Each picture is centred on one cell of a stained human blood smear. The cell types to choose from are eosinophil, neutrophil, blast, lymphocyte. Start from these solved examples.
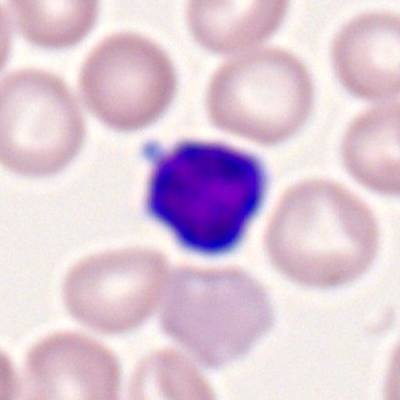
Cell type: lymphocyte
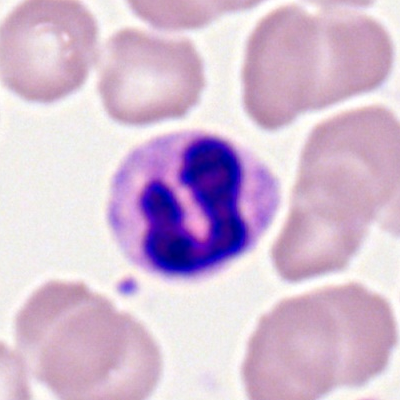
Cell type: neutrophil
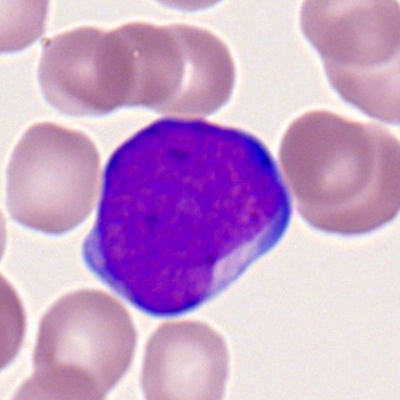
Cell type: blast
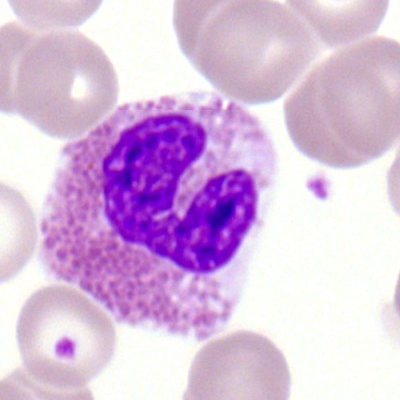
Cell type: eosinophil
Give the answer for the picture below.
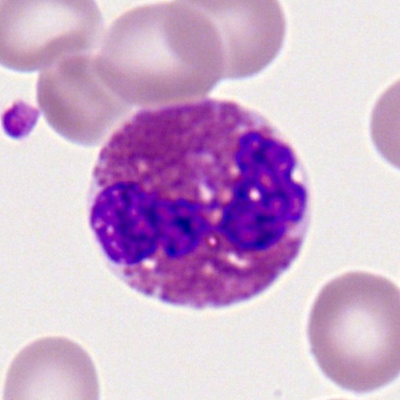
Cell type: eosinophil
